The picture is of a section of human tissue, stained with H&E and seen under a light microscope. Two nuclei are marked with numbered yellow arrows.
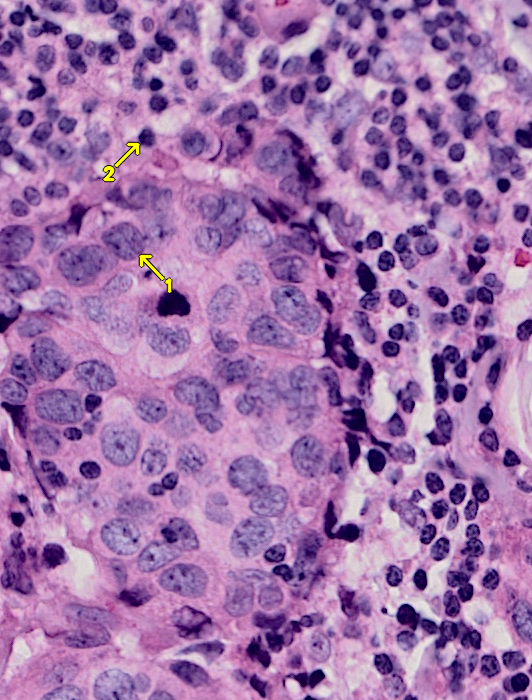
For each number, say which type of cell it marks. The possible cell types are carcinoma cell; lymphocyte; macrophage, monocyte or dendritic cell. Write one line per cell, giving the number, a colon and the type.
1: carcinoma cell
2: lymphocyte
